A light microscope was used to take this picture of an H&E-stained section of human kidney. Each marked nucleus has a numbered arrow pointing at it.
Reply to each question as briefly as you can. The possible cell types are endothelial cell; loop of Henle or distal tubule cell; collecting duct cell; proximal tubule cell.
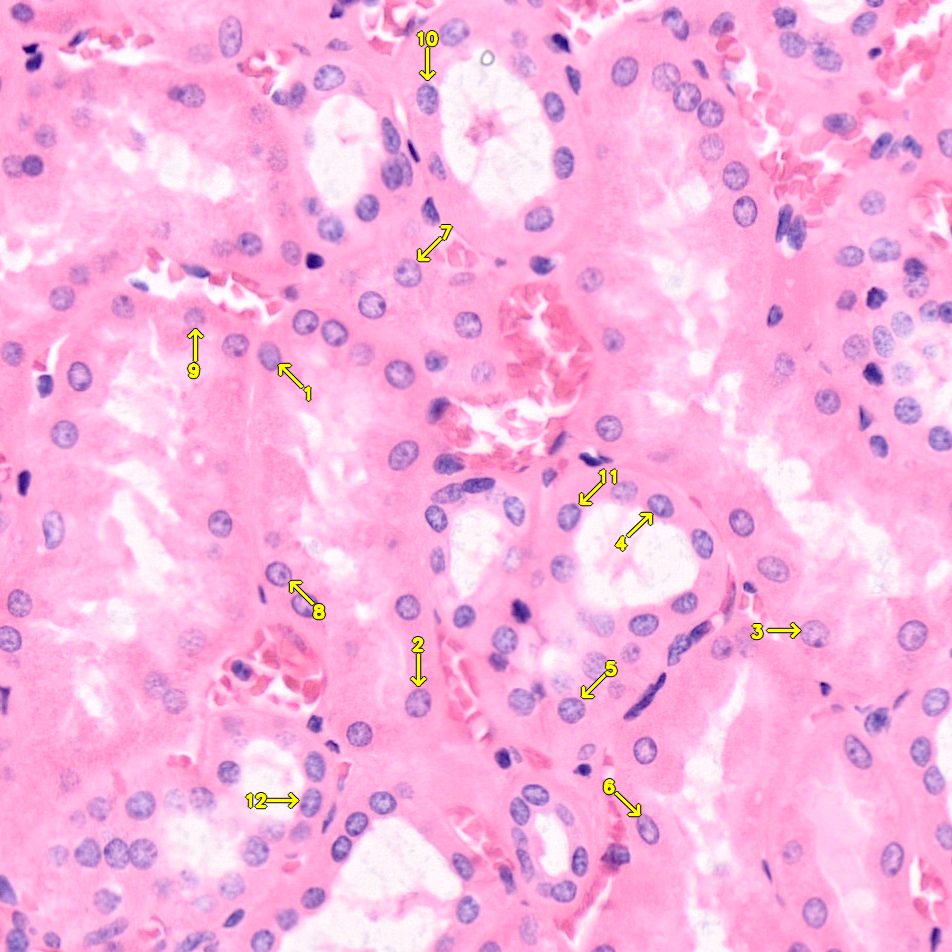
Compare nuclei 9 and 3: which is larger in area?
3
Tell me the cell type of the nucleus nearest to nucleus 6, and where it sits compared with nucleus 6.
an endothelial cell; below and to the left of nucleus 6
